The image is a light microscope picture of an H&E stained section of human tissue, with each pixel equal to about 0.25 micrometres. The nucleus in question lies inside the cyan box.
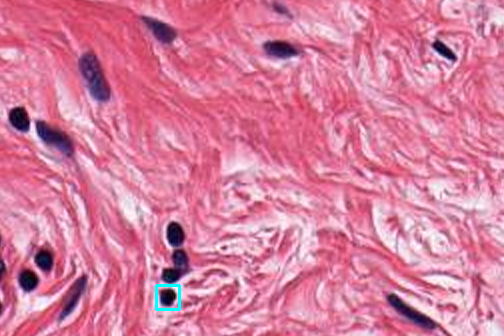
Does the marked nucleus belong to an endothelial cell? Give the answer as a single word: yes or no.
no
